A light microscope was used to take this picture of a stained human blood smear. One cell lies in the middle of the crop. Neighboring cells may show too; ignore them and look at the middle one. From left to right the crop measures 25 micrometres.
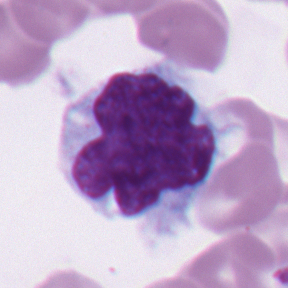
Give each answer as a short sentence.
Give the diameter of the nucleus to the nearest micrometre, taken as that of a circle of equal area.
Taken as a circle, the nucleus has a diameter of about 11 micrometres.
